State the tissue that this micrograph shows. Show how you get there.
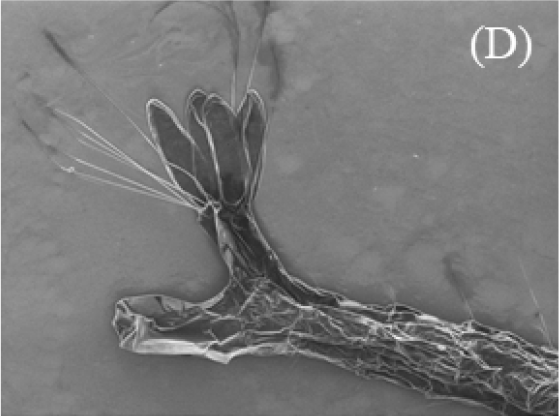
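Four slender, smooth-walled lobes cluster at the tip of the terminal segment. A fan of long setae lies beside them.
Hence: anal papillae.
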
